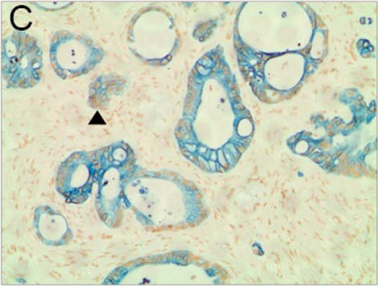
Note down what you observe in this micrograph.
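Tumor cells form gland-like structures of varying size within a pale stroma of elongated spindle cells. The epithelial cells lining the glands show blue-green stained cytoplasm, with some glands containing several rounded clear spaces, giving a sieve-like or vacuolated appearance. Larger glands have open lumens with sparse contents. Small clusters of stained epithelial cells also lie singly within the stroma away from the larger glands. The surrounding stroma is pale and fibrous, its slender cells lacking the blue-green colour.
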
